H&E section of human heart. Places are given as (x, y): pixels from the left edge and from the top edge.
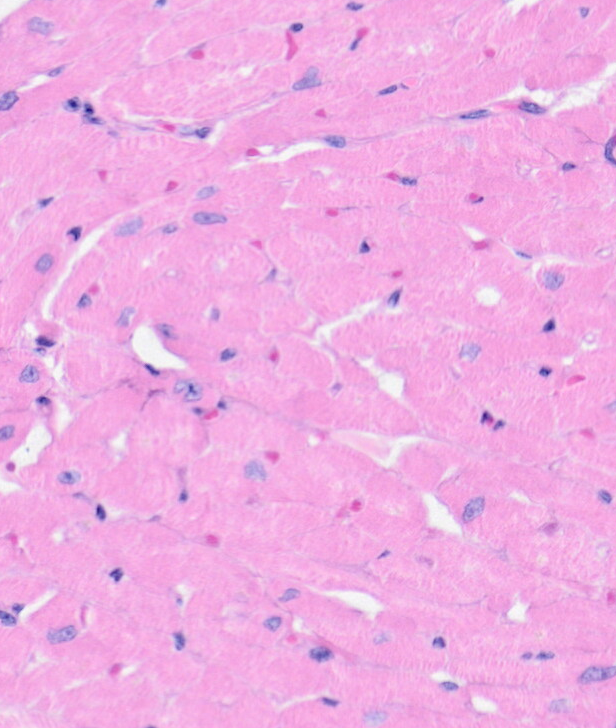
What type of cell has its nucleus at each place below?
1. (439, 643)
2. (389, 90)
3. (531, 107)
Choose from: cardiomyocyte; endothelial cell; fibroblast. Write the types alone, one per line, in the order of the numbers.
endothelial cell
fibroblast
endothelial cell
